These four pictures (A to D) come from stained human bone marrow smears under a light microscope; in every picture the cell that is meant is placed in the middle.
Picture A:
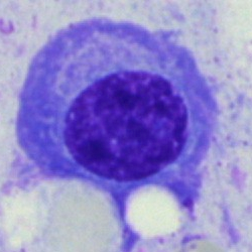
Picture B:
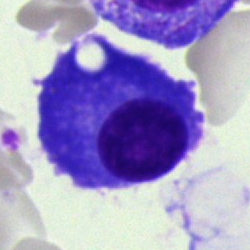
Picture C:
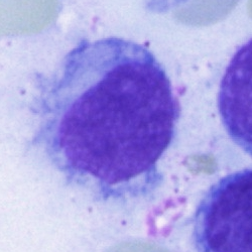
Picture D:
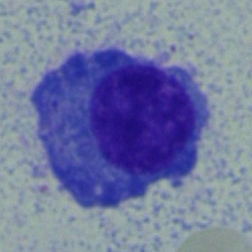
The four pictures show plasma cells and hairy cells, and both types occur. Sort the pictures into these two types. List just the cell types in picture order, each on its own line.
plasma cell
plasma cell
hairy cell
plasma cell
